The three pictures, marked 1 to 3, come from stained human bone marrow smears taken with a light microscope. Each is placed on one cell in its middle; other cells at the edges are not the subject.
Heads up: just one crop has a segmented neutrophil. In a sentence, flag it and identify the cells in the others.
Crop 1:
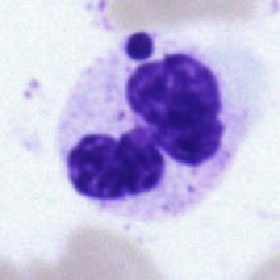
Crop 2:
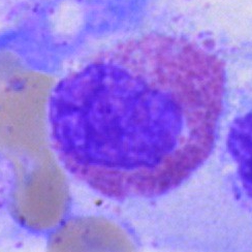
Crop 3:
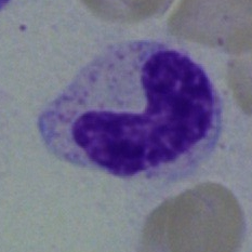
Crop 1 shows a segmented neutrophil, while crop 2 is an eosinophil and crop 3 is a band neutrophil.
